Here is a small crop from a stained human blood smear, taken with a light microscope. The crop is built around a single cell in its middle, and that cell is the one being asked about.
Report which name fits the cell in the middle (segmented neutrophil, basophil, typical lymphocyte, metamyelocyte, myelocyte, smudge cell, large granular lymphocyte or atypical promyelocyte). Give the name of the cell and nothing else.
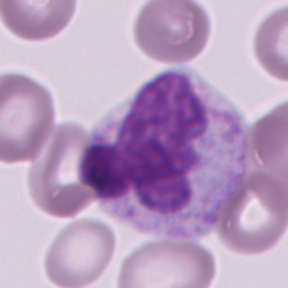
segmented neutrophil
